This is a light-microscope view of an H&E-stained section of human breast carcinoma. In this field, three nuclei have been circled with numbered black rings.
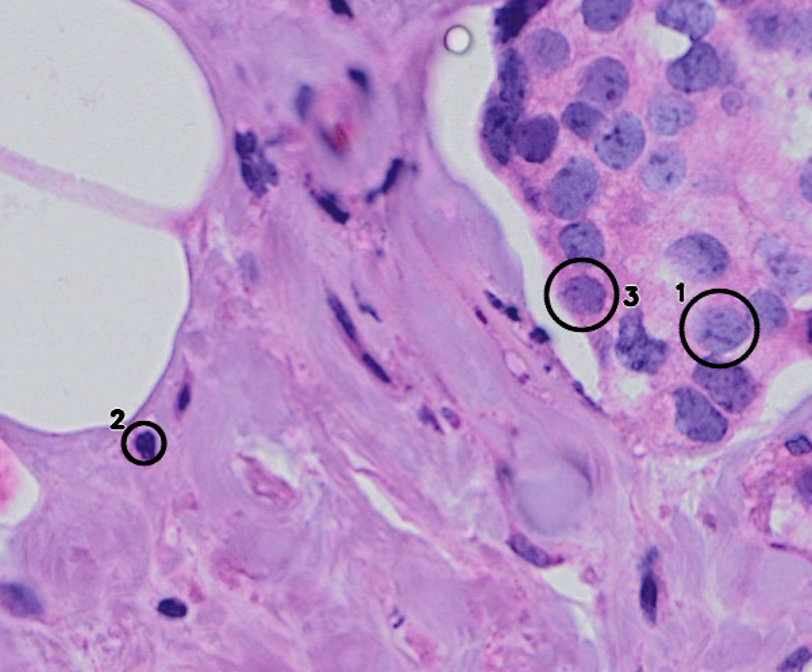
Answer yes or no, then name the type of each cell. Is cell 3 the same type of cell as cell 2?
No, cell 3 is a carcinoma cell, with cell 2 being a lymphocyte.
